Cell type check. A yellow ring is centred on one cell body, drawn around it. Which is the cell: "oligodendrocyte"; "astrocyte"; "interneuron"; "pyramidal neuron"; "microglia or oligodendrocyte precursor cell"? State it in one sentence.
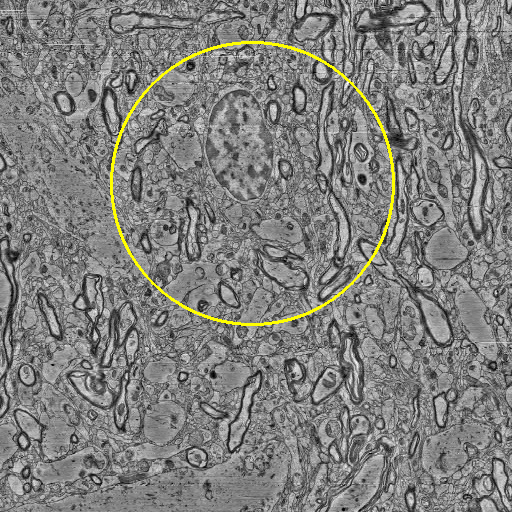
The cell body at the ring's centre belongs to a microglial cell or oligodendrocyte precursor cell.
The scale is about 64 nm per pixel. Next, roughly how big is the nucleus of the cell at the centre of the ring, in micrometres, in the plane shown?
The nucleus works out at approximately 7 by 4 micrometres in this plane.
